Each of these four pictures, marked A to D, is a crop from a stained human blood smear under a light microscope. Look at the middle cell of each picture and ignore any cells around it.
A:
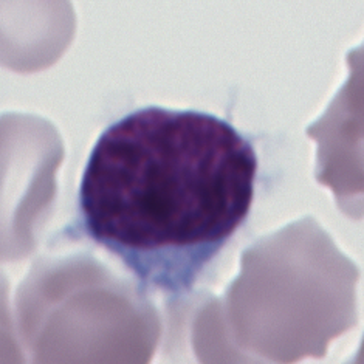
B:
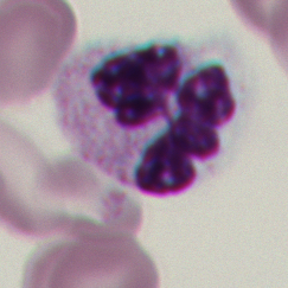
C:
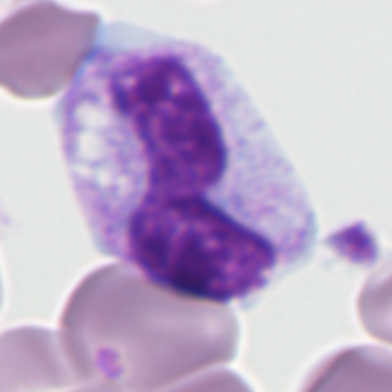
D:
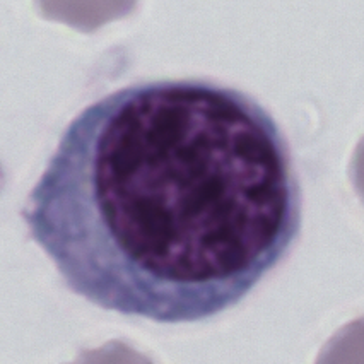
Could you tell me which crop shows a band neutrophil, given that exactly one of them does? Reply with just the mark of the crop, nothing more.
C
